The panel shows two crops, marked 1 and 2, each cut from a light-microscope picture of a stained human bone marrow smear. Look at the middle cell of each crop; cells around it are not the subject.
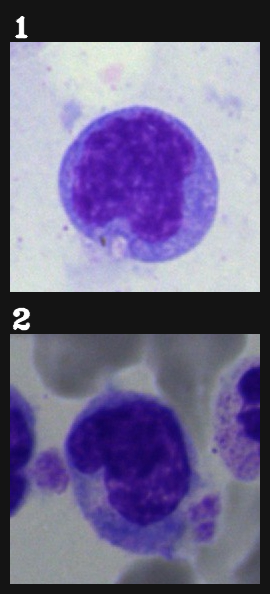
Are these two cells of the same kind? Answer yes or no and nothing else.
yes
